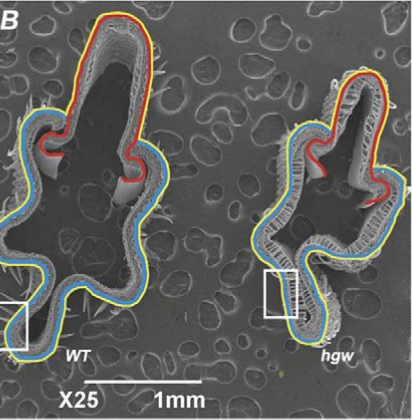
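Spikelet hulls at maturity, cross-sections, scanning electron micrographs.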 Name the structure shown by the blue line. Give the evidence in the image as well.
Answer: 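Lemma. The blue line traces the larger, lower part of each hull cross-section. The traced part is a thin lobed wall of several cell layers enclosing a hollow cavity.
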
